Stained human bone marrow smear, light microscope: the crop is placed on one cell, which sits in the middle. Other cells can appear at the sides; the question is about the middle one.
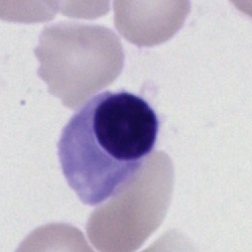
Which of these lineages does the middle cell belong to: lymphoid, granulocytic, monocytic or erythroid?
erythroid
